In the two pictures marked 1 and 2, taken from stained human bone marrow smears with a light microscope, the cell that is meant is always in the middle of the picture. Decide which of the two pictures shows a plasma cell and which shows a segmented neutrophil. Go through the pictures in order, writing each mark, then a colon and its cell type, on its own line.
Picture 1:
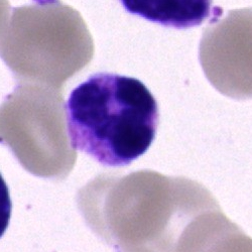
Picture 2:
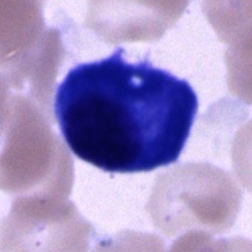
1: segmented neutrophil
2: plasma cell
